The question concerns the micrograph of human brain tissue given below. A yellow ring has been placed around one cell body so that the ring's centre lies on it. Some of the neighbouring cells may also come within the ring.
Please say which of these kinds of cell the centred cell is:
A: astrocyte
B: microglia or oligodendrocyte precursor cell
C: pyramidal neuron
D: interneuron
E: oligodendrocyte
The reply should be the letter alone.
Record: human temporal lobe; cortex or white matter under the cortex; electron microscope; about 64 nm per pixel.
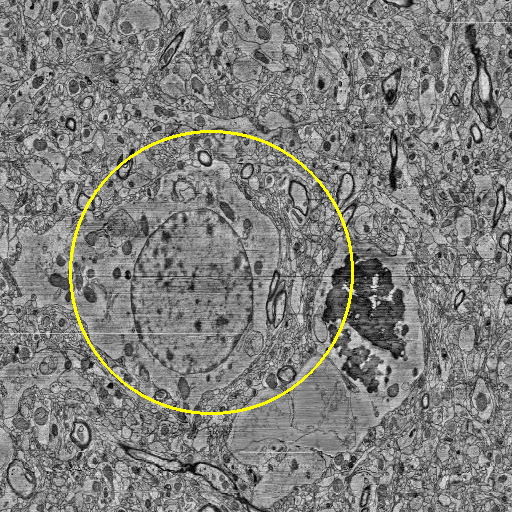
A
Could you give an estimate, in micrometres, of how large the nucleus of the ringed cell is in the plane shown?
About 11 by 8 micrometres in this plane.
